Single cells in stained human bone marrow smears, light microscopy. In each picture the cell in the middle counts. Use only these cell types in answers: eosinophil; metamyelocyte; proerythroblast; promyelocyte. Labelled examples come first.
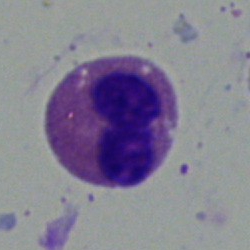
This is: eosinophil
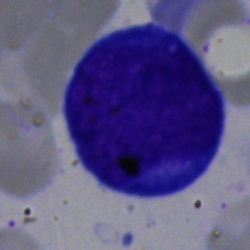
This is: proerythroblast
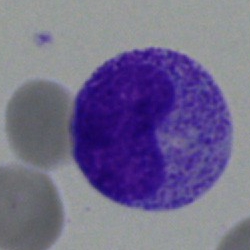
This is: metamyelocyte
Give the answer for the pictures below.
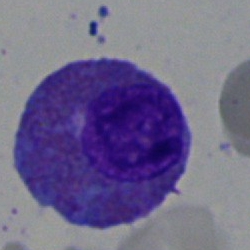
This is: eosinophil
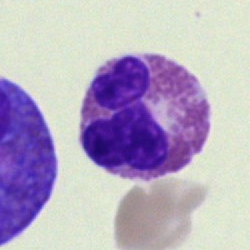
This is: eosinophil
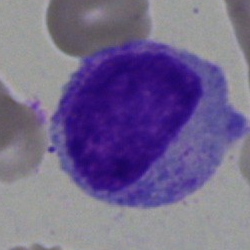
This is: promyelocyte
